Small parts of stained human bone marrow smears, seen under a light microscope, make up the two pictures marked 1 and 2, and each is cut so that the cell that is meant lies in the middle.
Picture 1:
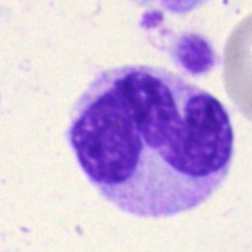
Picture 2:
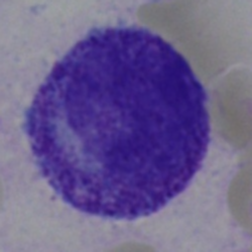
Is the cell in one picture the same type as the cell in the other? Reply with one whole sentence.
No, they differ: the cell is a monocyte in picture 1 and a promyelocyte in picture 2.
